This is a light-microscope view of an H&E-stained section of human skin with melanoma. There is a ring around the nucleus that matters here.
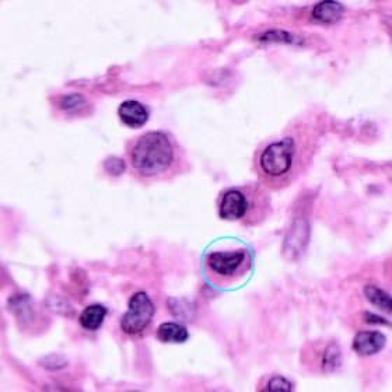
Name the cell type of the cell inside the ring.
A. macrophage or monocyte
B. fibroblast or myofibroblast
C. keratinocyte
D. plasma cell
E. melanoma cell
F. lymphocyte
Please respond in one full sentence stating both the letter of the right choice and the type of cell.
The statement that the cell inside the ring is a macrophage or monocyte corresponds to option A, the correct one.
